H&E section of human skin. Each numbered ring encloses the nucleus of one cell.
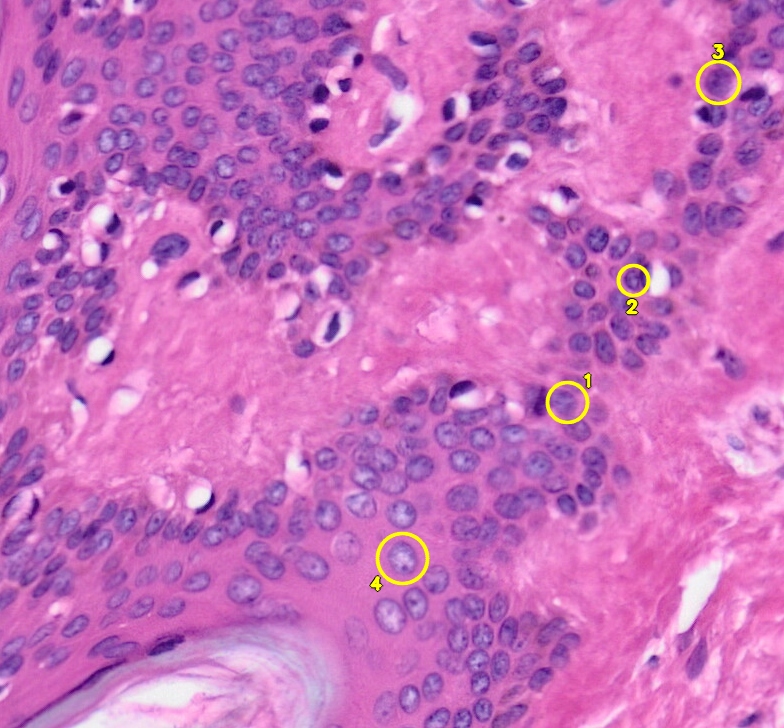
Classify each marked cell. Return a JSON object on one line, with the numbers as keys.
{"1": "basal keratinocyte", "2": "basal keratinocyte", "3": "basal keratinocyte", "4": "suprabasal keratinocyte"}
